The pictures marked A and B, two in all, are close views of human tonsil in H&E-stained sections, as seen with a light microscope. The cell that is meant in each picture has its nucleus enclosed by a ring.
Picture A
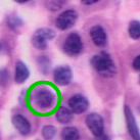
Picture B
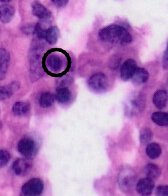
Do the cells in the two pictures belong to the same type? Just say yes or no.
yes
